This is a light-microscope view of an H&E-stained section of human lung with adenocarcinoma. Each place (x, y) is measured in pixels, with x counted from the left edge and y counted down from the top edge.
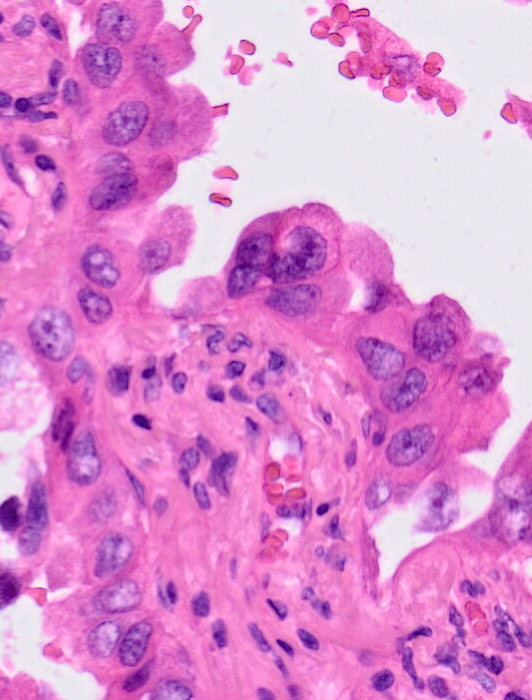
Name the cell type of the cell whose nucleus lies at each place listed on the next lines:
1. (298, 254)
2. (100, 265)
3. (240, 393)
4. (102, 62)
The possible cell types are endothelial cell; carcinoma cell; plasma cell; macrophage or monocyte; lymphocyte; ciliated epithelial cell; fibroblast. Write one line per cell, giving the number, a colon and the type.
1: carcinoma cell
2: carcinoma cell
3: lymphocyte
4: carcinoma cell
